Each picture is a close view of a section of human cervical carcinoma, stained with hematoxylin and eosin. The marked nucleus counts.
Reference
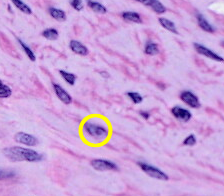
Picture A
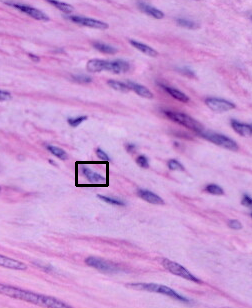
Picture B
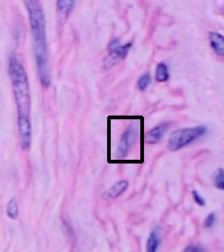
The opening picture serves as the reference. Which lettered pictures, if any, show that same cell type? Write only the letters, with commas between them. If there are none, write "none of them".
A, B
